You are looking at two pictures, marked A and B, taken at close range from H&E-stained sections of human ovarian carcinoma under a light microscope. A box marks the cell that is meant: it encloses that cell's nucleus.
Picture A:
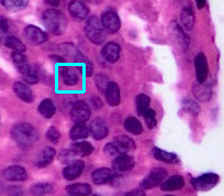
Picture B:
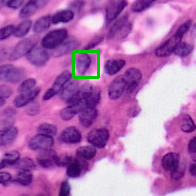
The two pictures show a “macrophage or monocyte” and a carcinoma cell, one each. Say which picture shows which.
A: carcinoma cell
B: macrophage or monocyte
